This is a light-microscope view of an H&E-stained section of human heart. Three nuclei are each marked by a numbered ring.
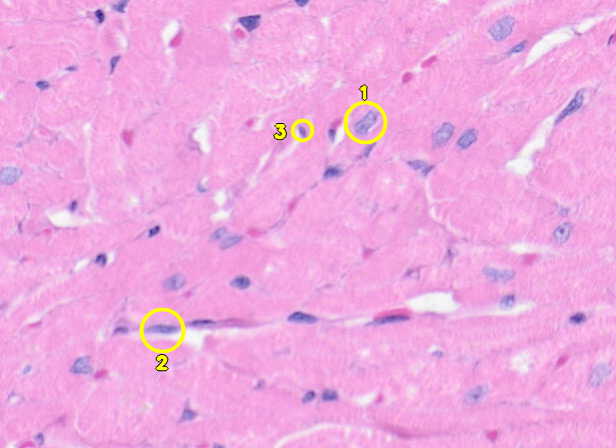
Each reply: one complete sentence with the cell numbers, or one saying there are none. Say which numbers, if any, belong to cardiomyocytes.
In contrast to the remaining marked cells, cell 1 is a cardiomyocyte.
